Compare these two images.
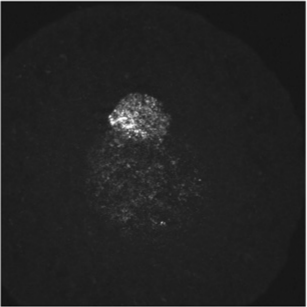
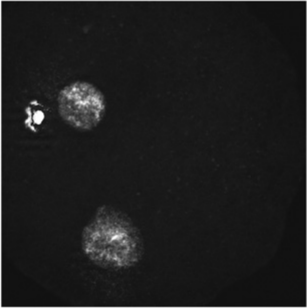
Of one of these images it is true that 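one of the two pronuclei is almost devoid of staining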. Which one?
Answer: the first image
